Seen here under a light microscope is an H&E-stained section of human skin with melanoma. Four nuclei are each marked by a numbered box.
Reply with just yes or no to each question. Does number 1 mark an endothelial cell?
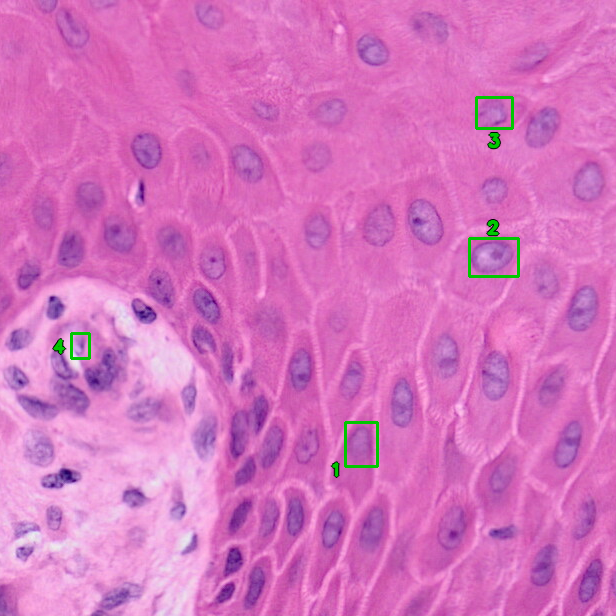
no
